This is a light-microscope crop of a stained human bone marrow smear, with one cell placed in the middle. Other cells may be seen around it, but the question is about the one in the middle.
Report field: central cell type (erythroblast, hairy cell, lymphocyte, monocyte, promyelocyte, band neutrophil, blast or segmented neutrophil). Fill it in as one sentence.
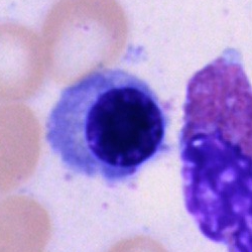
In short, the cell at the center is an erythroblast.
